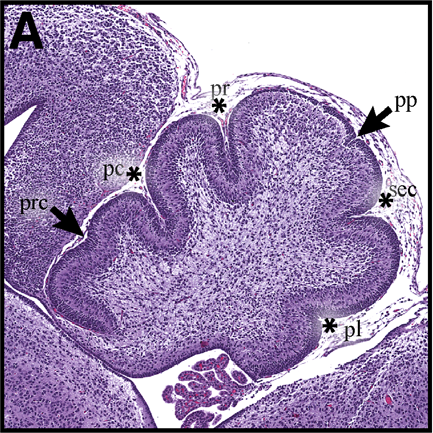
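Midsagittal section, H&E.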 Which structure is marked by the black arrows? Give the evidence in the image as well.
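Each arrow points at a shallow notch in the folded surface. The notches are shallower than the clefts marked by asterisks. The answer: fissures.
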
